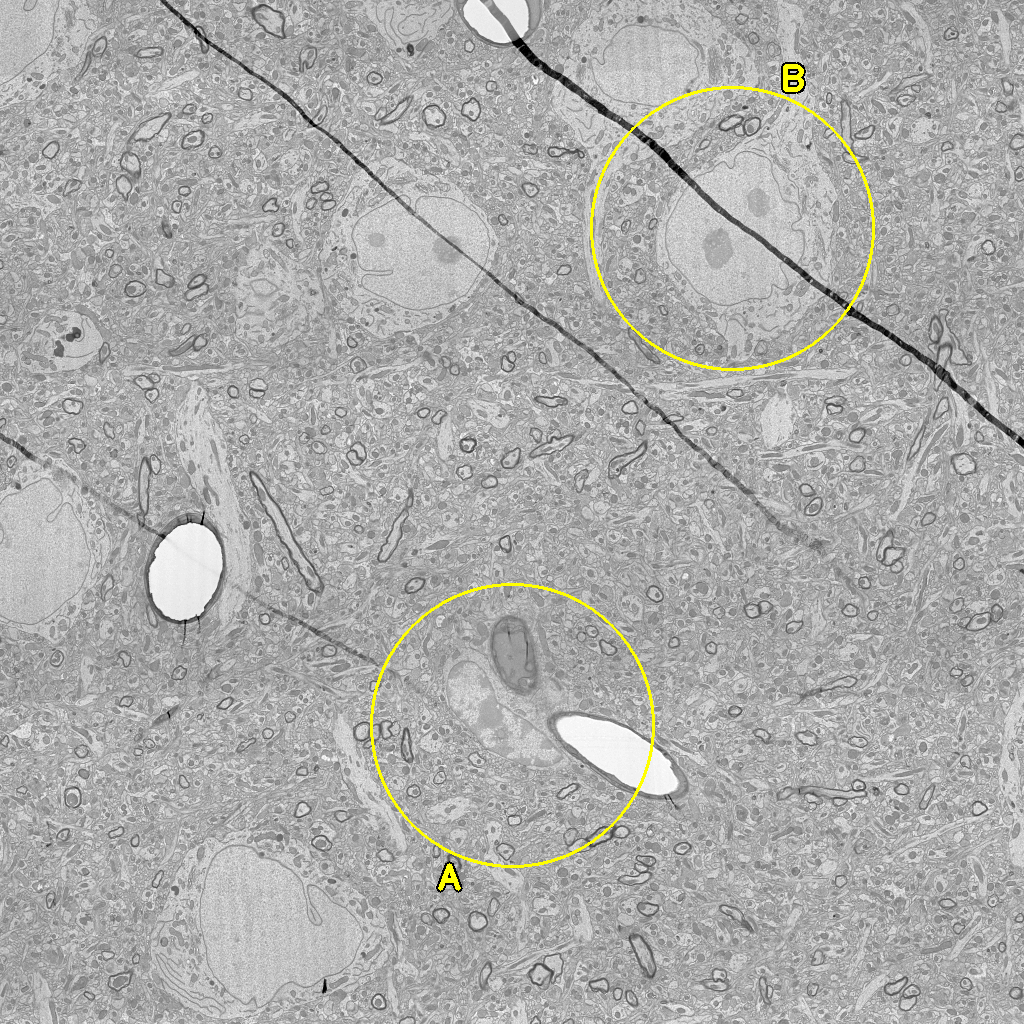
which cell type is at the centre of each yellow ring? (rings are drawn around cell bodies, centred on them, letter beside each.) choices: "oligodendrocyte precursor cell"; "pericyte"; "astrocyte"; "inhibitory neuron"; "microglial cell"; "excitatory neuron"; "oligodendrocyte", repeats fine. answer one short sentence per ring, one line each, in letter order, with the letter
Ring A is an oligodendrocyte.
Ring B is an excitatory neuron.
